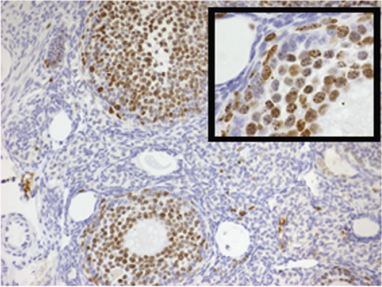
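Ovarian follicles are seen as rounded clusters of many layers of small, tightly packed granulosa cells set in looser stromal tissue. Most granulosa cell nuclei are stained brown, while the surrounding stromal cells have mostly blue nuclei. In the inset the brown nuclei are round to oval and crowded, with little visible cytoplasm between them. Small blood vessels and clear spaces lie in the stroma between the follicles.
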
